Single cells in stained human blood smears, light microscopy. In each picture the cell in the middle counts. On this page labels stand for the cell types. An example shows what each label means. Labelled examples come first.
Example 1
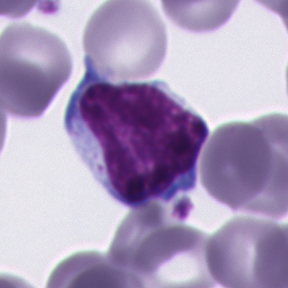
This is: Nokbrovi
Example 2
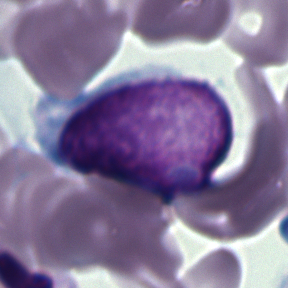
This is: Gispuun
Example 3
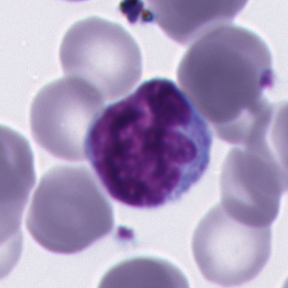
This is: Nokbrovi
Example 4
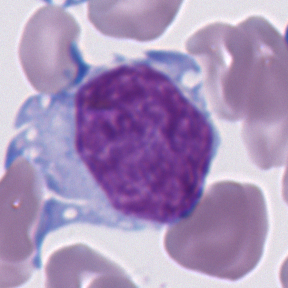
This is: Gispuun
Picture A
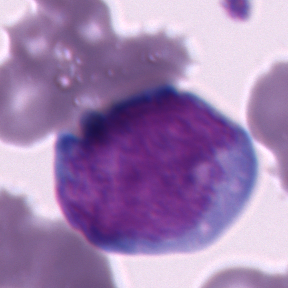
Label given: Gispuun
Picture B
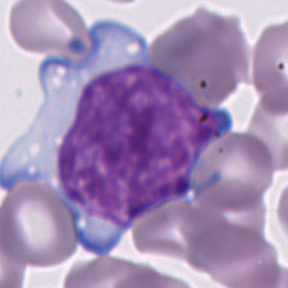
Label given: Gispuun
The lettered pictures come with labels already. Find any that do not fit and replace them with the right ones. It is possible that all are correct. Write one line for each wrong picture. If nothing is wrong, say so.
None of the labels needs changing.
